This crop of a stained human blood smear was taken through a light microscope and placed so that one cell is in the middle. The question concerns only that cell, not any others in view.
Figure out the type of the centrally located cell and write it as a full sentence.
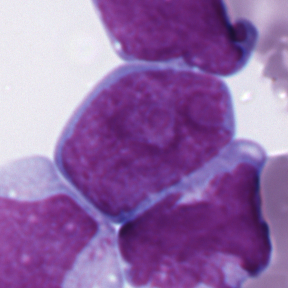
The cell at the middle of the crop is recognized as a myeloblast.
